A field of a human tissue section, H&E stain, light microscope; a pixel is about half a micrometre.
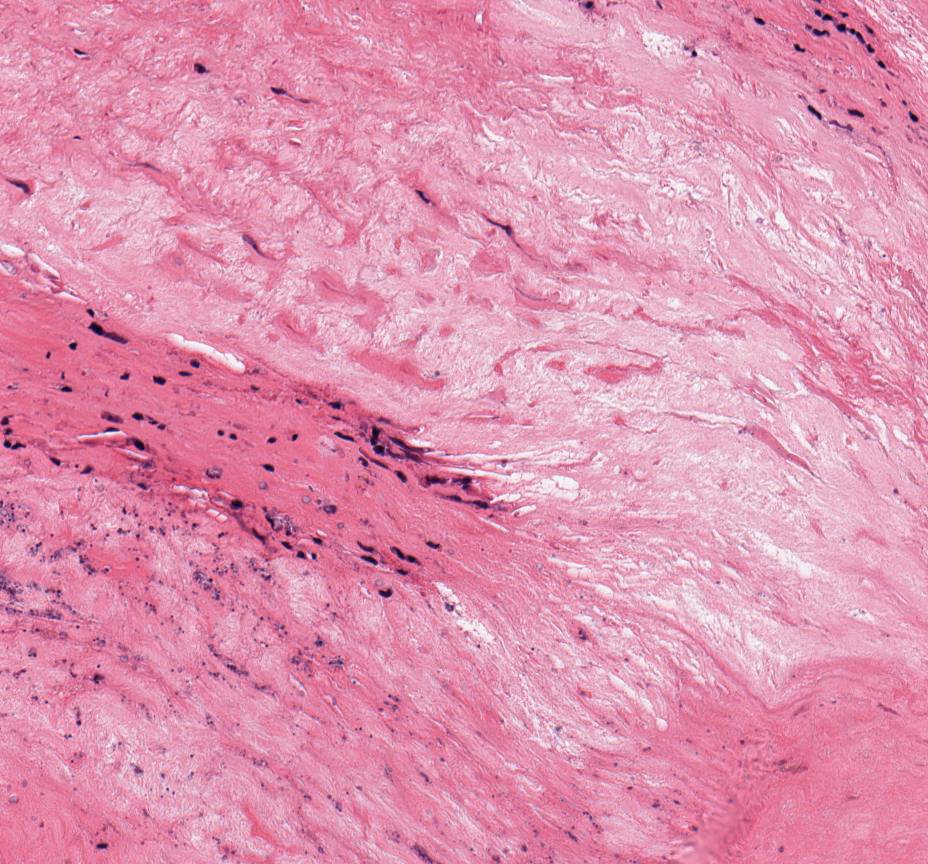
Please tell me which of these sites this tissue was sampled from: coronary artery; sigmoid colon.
coronary artery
